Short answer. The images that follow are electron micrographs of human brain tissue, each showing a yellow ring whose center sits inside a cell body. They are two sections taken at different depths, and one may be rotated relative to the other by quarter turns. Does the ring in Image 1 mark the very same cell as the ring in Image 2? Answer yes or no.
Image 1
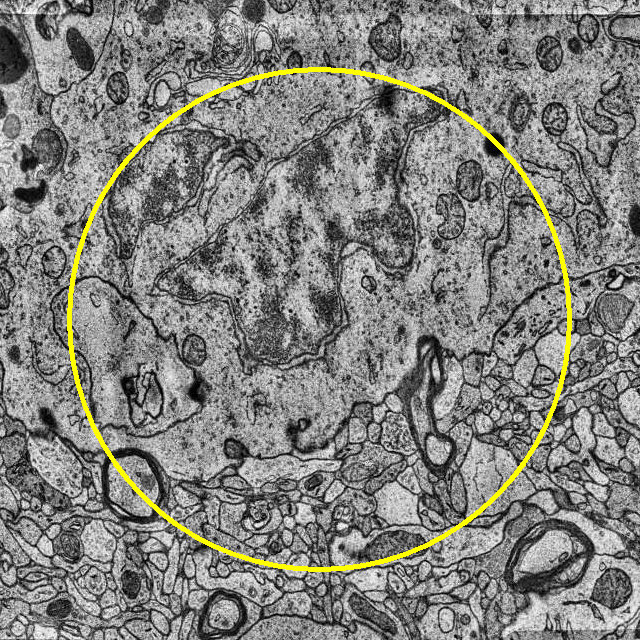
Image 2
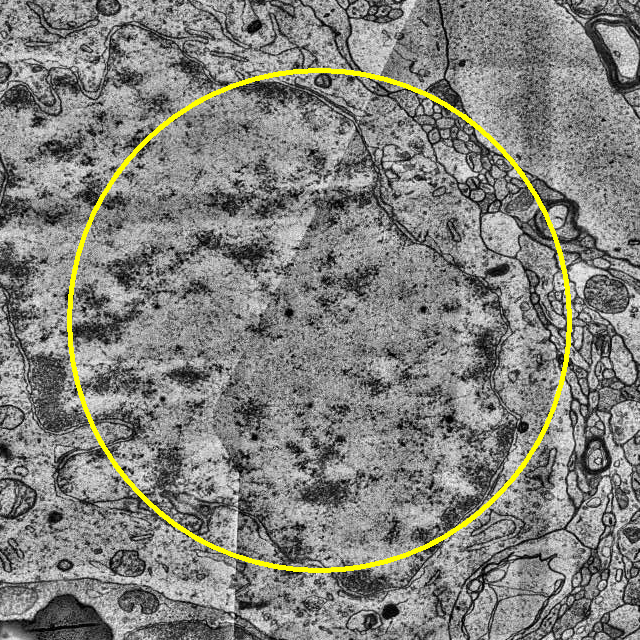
yes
